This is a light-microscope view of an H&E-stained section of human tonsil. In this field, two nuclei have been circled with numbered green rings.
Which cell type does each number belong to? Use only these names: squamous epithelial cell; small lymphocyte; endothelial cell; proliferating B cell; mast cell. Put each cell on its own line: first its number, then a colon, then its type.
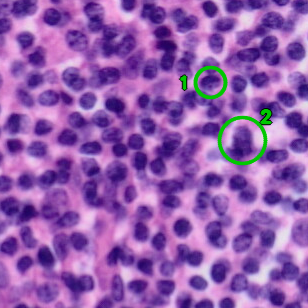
1: small lymphocyte
2: proliferating B cell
